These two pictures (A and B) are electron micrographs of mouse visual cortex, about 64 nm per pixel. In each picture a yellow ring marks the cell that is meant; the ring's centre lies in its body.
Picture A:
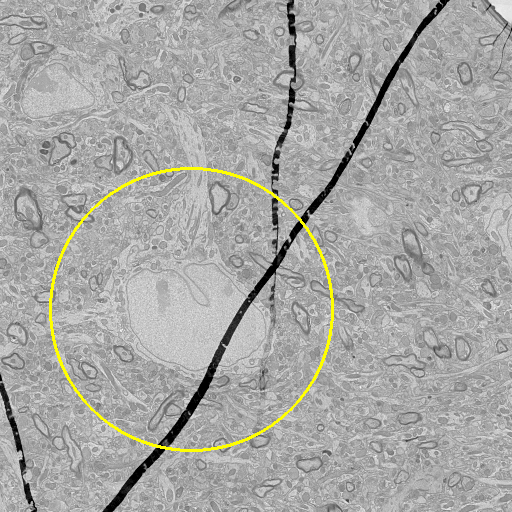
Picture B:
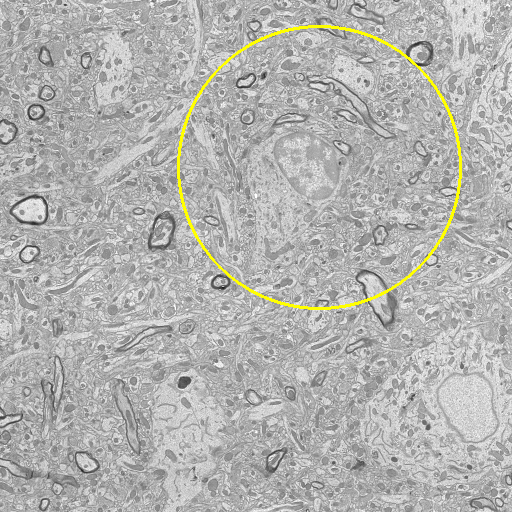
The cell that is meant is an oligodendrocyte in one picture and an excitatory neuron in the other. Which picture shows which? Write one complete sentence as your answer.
Picture A shows an excitatory neuron and picture B shows an oligodendrocyte.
